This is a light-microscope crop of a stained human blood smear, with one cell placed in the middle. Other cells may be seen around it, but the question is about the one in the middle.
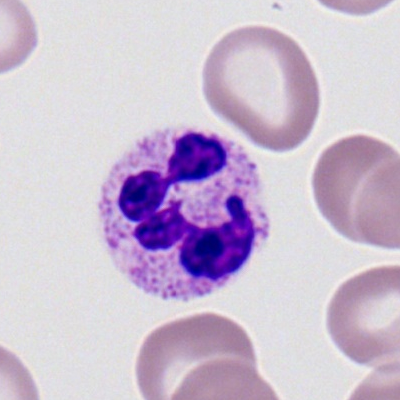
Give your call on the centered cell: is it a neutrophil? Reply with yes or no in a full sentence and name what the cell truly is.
Yes, the cell occupying the center is a neutrophil.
